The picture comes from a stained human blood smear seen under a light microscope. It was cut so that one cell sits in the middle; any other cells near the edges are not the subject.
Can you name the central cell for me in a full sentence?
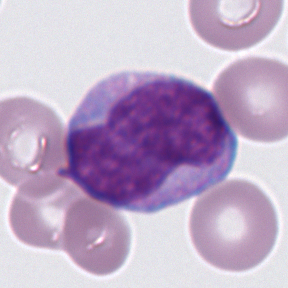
Within this crop, an atypical promyelocyte occupies the central position.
